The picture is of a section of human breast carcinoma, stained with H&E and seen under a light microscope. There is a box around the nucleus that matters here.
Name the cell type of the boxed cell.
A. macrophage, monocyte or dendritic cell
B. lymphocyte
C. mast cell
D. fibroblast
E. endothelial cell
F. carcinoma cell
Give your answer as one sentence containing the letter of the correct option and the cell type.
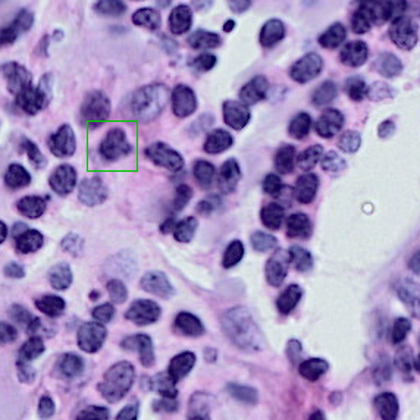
Looking at the options, pick B; the boxed cell is a lymphocyte.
